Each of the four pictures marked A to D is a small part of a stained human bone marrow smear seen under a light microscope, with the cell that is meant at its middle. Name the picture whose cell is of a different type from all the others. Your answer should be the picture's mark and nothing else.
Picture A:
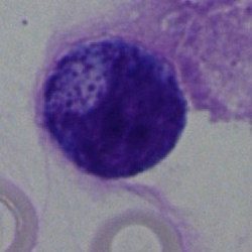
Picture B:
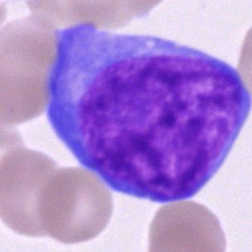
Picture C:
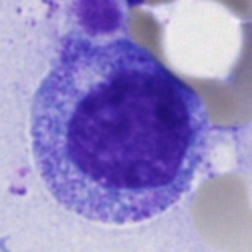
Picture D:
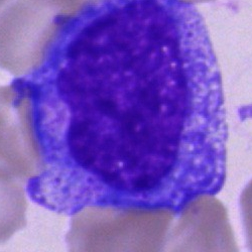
B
